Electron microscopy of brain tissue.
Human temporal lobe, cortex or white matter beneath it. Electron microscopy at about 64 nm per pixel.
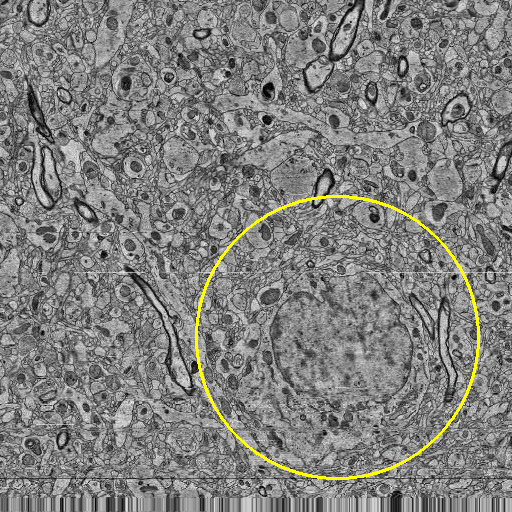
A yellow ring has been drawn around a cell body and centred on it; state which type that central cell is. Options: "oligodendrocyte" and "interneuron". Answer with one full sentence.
The cell at the middle of the yellow ring is an interneuron in this picture.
